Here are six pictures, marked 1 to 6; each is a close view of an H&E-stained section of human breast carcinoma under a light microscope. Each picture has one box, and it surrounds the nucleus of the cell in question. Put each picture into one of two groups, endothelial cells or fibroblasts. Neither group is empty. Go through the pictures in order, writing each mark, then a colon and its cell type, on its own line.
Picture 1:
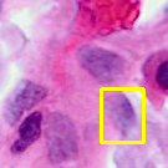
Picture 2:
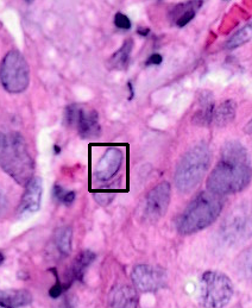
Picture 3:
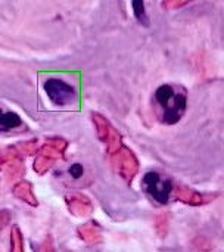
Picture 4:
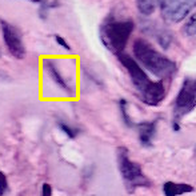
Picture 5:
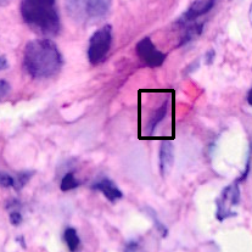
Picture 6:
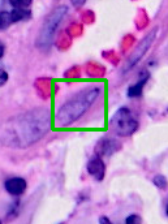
1: fibroblast
2: endothelial cell
3: fibroblast
4: fibroblast
5: endothelial cell
6: endothelial cell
